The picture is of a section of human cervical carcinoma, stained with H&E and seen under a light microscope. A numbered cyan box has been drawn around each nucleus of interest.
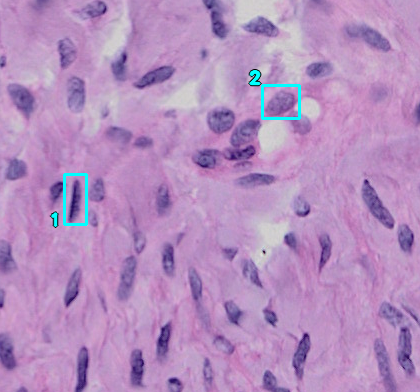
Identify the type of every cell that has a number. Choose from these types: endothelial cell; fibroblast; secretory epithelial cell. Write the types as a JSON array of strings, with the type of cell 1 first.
["fibroblast", "endothelial cell"]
